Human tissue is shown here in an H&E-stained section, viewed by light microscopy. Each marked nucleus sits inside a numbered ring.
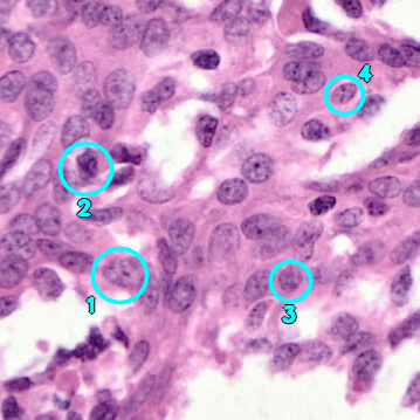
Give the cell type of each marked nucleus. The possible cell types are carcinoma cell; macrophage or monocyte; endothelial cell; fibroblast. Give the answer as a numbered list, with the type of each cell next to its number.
1. carcinoma cell
2. carcinoma cell
3. carcinoma cell
4. macrophage or monocyte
